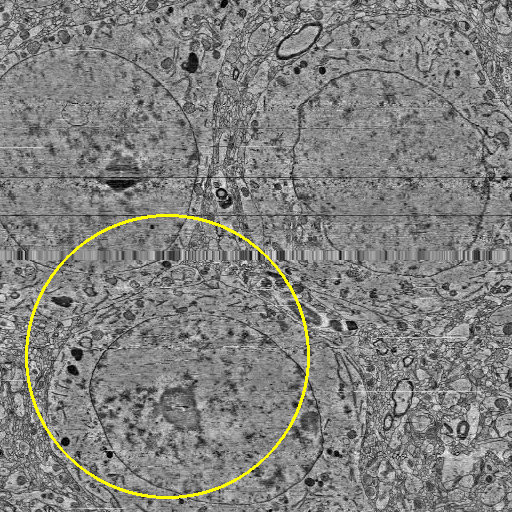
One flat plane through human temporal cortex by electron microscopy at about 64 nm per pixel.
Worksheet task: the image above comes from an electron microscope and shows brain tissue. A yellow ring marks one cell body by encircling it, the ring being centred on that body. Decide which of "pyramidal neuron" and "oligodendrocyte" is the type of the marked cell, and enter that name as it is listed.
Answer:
pyramidal neuron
